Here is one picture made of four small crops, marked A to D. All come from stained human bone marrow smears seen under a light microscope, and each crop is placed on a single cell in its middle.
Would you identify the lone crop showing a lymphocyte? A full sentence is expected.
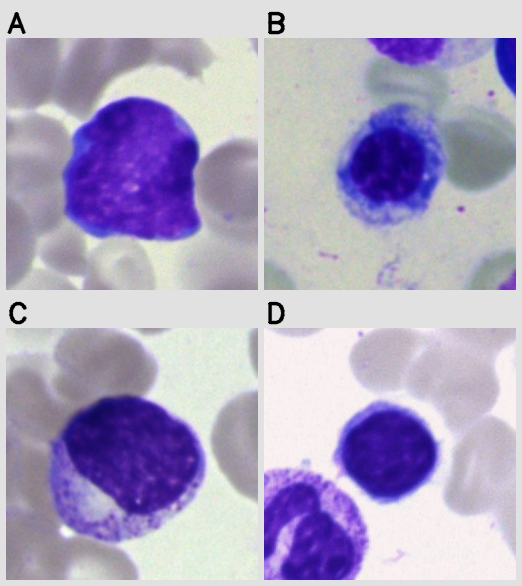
Crop D is the right one; it is the crop showing a lymphocyte.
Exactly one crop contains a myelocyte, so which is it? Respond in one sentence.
The one crop in the set with a myelocyte is crop C.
